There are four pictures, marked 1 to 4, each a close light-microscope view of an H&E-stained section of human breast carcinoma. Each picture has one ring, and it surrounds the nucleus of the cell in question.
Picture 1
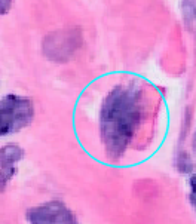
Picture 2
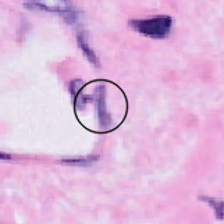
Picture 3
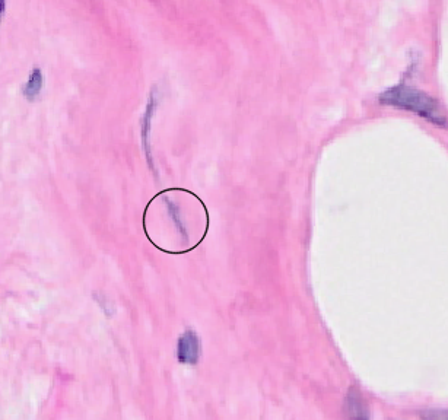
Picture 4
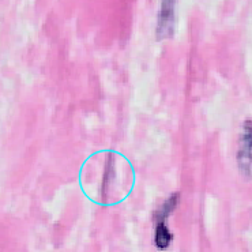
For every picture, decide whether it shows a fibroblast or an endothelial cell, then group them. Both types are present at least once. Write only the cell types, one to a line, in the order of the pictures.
endothelial cell
endothelial cell
fibroblast
fibroblast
